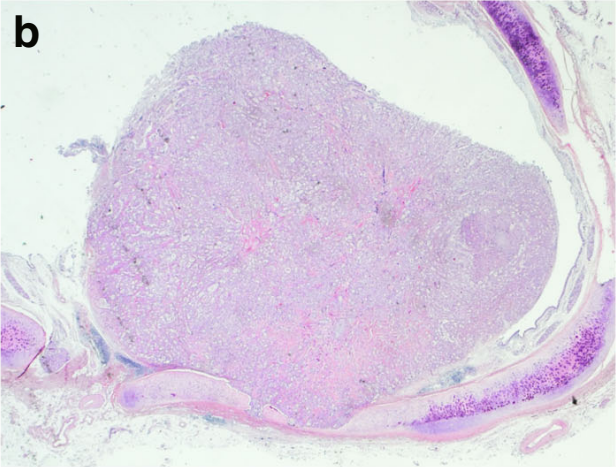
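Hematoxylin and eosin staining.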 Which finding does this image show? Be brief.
polypoid tumor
